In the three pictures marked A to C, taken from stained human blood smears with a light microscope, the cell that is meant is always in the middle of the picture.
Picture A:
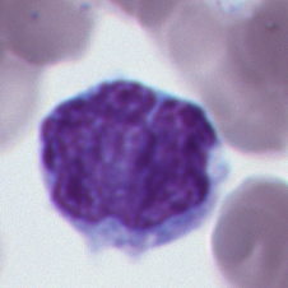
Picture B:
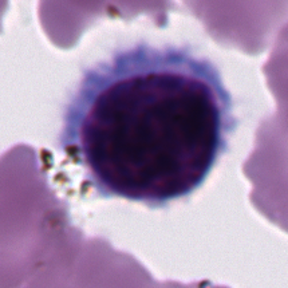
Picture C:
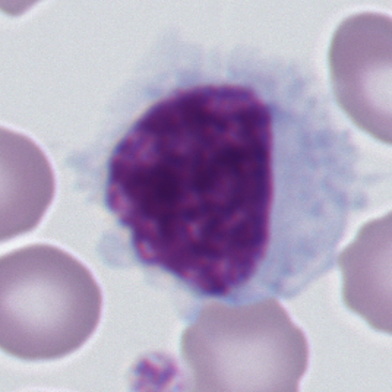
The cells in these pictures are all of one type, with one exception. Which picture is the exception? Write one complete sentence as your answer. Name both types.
Unlike the rest, which show hairy cells, picture A shows a monocyte.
